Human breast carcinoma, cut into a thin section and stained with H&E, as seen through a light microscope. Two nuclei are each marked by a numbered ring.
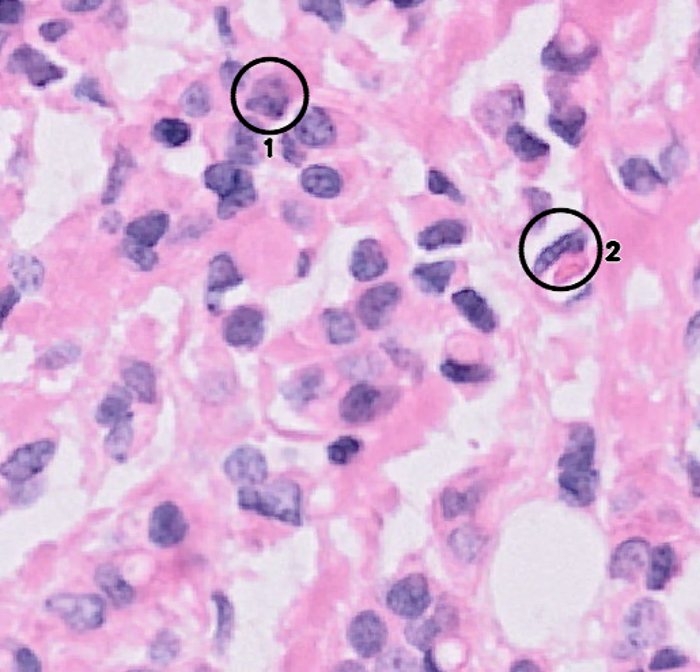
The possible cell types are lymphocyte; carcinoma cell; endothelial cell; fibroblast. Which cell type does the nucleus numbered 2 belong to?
endothelial cell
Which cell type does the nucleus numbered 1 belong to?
carcinoma cell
